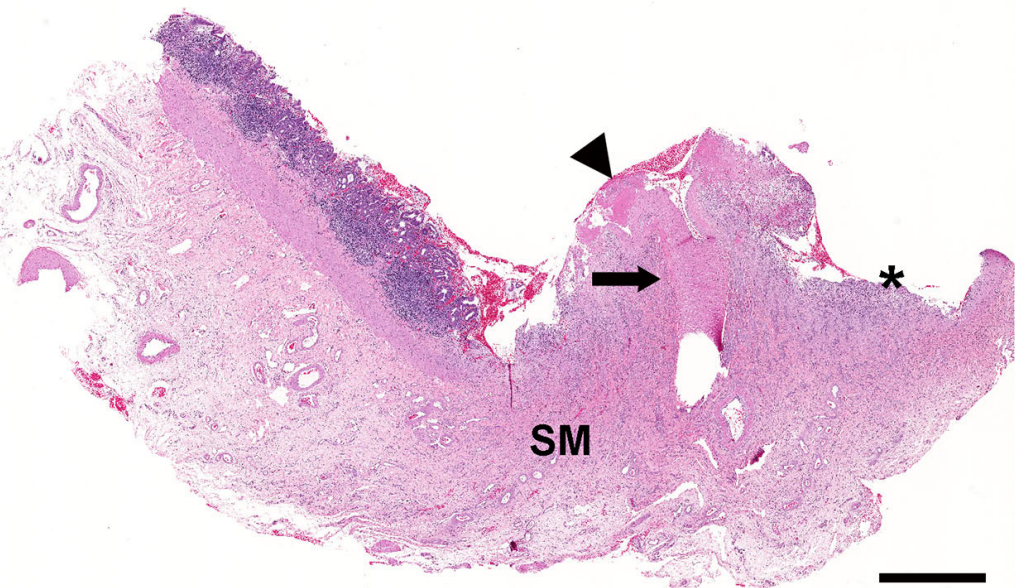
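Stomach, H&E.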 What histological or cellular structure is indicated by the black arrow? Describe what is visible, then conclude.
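Large-caliber artery. The arrow points to a thick-walled tubular structure with a pink muscular wall. The structure runs up from the deeper loose connective tissue toward the surface.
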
